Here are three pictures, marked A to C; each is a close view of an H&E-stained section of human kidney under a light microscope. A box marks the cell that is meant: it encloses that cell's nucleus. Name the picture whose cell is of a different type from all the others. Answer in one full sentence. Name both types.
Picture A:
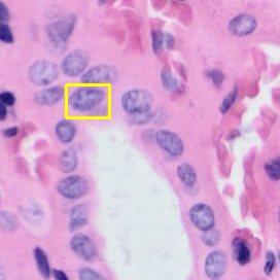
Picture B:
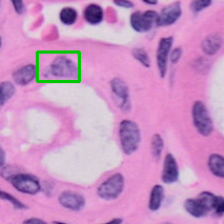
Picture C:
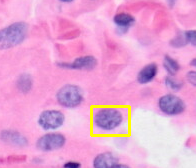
Picture C differs, because its cell is a “loop of Henle or distal tubule cell” and the rest are collecting duct cells.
